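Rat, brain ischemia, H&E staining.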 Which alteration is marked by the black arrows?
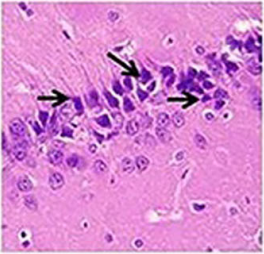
dark neurons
